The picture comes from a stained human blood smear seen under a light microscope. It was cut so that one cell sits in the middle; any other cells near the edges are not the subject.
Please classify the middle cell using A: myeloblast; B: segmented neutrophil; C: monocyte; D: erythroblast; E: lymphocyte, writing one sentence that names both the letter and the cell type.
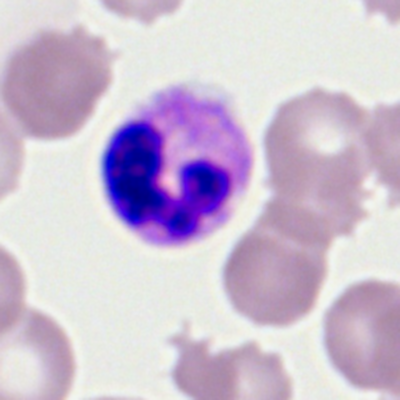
Of the options given, B is correct, the central cell being a segmented neutrophil.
